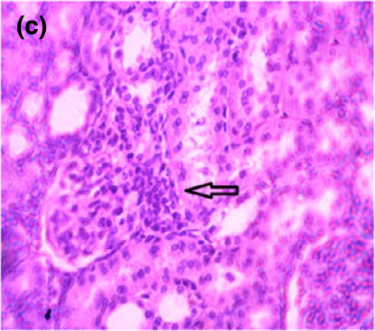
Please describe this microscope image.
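This pink and purple stained kidney tissue shows a glomerulus at the left among cross-sectioned tubules, with a dense focus of inflammatory cell infiltration beside it. The glomerulus is a round tuft of cells within a thin capsule. Next to it, in the space between the tubules, lies a compact cluster of small, dark, round nuclei with little cytoplasm, much more crowded than the nuclei of the neighbouring tubular cells. The surrounding tubules are lined by cuboidal cells with pink cytoplasm and have open, pale lumens.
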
